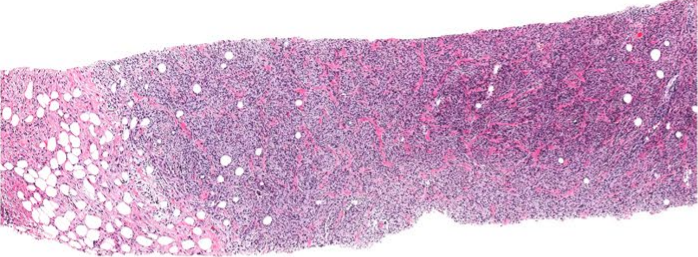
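A long needle core is largely replaced by a moderately cellular spindle cell lesion that appears as a dense purple sheet. At the left end, clear round fat cells with pink septa remain, and pink strands of stroma wind through the cellular area; no ducts or lobules are seen.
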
